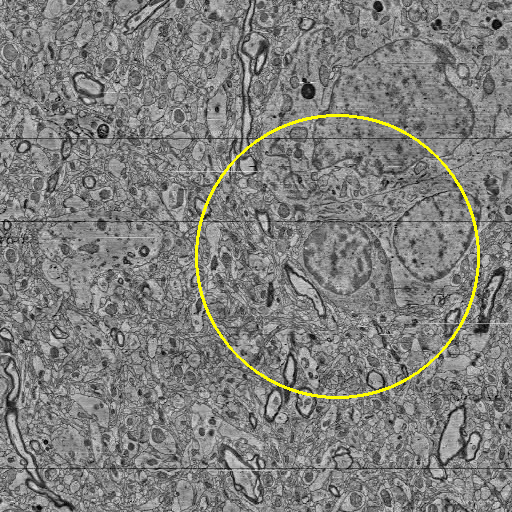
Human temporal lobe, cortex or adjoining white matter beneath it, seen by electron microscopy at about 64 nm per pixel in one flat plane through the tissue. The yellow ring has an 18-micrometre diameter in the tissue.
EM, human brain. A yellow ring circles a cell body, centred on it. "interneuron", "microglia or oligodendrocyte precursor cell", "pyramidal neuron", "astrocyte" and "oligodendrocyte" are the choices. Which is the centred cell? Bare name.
oligodendrocyte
